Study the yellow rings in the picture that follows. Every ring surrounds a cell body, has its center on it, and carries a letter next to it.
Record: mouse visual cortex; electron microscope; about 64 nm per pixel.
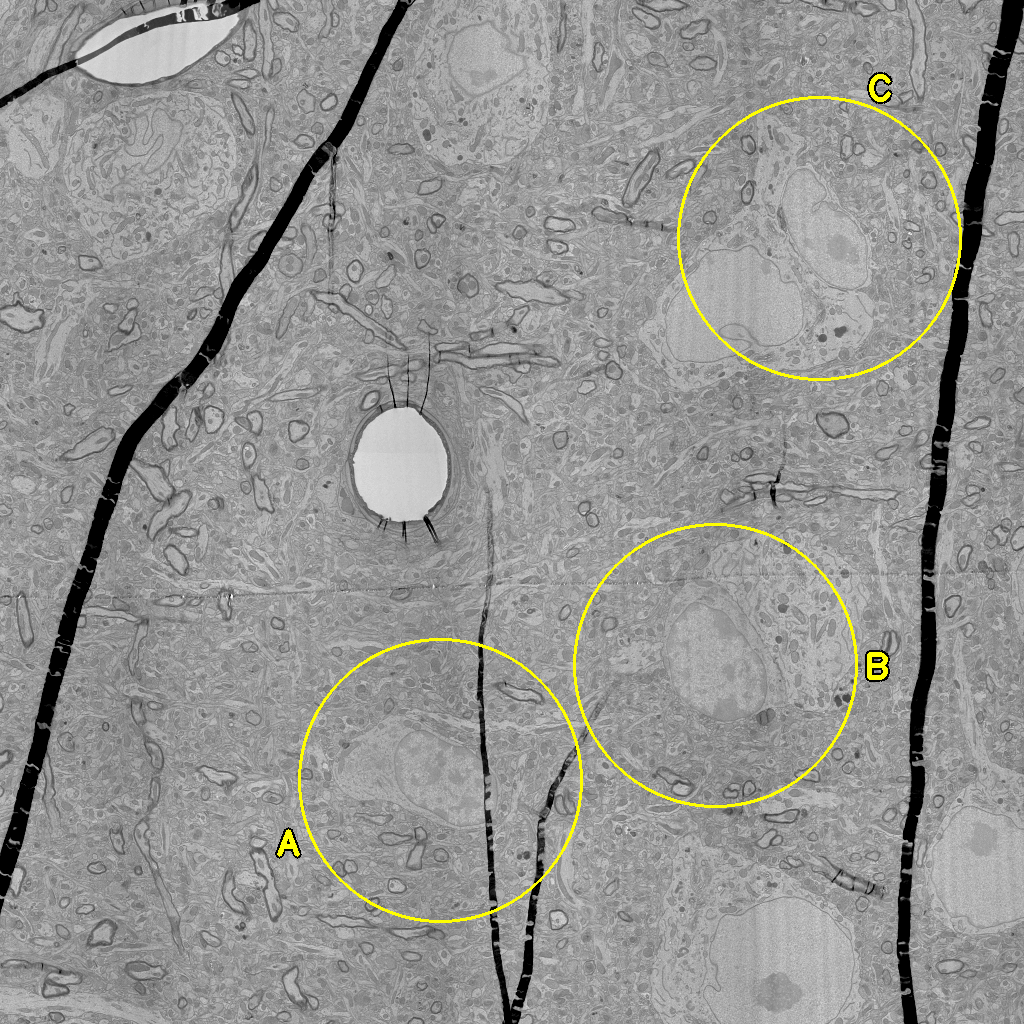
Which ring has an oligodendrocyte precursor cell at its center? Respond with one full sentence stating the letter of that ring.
The ring centered on the cell asked for carries the letter C.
